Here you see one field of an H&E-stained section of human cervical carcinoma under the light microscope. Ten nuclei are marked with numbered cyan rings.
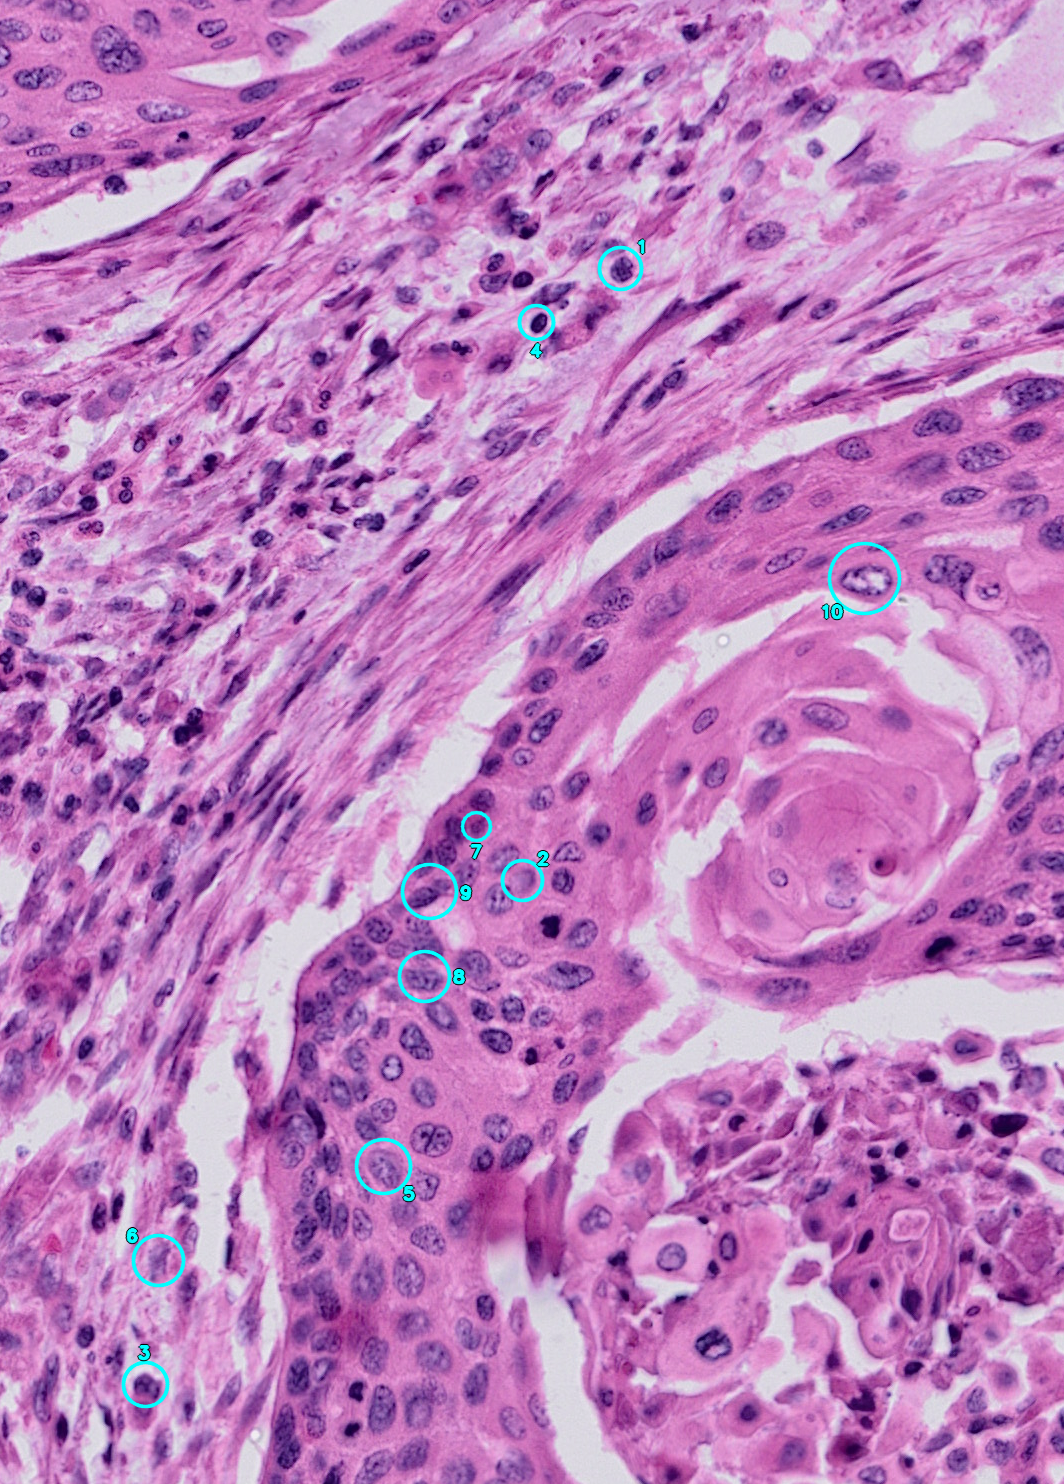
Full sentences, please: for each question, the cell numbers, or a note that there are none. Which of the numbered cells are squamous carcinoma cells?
The cells marked with the numbers 2, 5, 7, 8, 9 and 10 are squamous carcinoma cells.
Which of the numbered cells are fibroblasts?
Of the marked cells, the one numbered 6 is a fibroblast and the rest are not.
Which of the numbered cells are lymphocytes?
The cells to which the numbers 1 and 4 refer are lymphocytes.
